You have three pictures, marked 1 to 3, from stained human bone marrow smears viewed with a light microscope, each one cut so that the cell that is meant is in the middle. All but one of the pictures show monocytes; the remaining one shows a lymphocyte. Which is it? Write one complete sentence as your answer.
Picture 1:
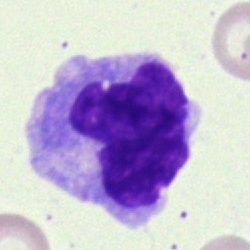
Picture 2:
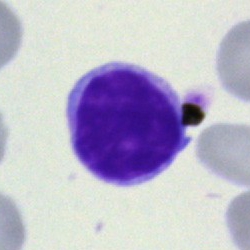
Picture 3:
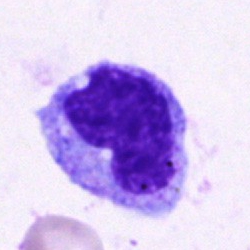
The picture with the lymphocyte is 2.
